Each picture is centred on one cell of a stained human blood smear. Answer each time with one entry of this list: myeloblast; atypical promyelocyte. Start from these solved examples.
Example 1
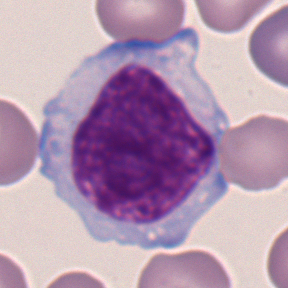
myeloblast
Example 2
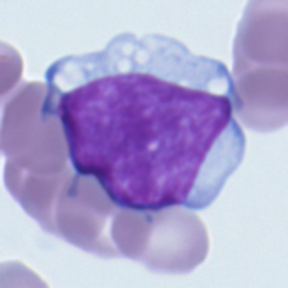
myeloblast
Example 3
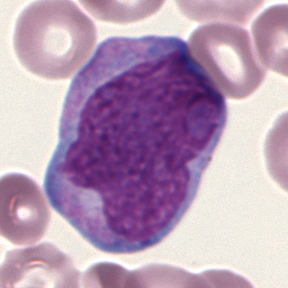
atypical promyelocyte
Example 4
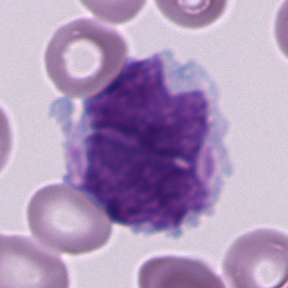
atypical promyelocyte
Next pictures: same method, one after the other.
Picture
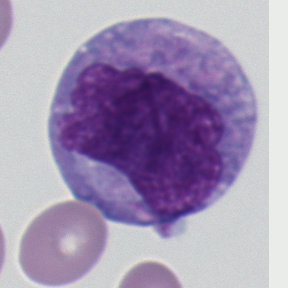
atypical promyelocyte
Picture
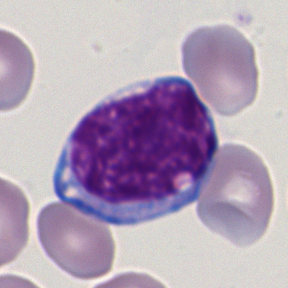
myeloblast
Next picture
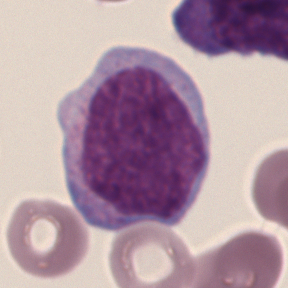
atypical promyelocyte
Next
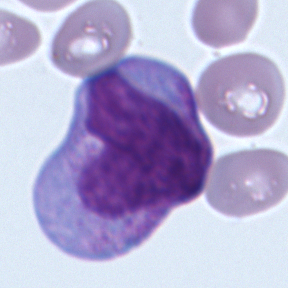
atypical promyelocyte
